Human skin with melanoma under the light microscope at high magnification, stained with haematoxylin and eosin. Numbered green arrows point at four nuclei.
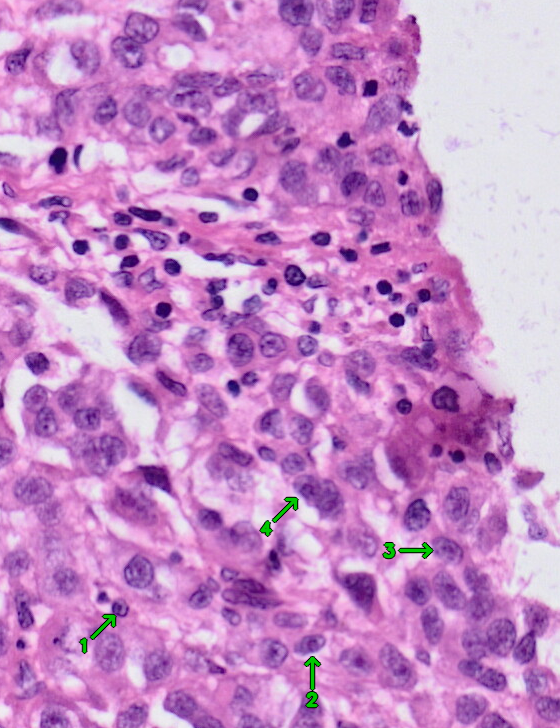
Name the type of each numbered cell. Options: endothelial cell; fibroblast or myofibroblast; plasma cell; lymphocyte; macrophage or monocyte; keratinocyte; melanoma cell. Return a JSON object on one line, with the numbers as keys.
{"1": "macrophage or monocyte", "2": "melanoma cell", "3": "melanoma cell", "4": "melanoma cell"}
